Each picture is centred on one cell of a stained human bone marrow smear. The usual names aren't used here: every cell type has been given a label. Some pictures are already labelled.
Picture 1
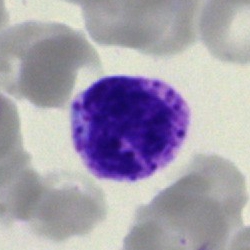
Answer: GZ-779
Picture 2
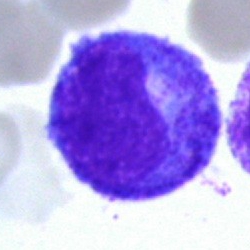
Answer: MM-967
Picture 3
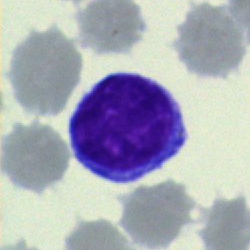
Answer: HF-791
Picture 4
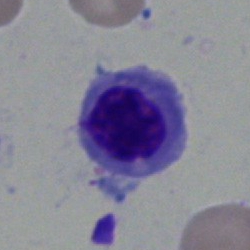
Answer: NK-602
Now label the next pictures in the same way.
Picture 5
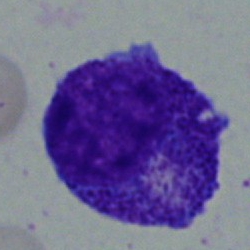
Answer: MM-967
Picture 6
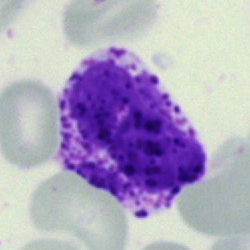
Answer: GZ-779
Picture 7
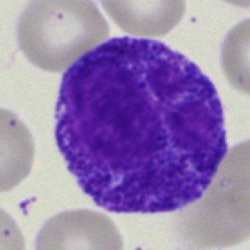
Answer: MM-967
